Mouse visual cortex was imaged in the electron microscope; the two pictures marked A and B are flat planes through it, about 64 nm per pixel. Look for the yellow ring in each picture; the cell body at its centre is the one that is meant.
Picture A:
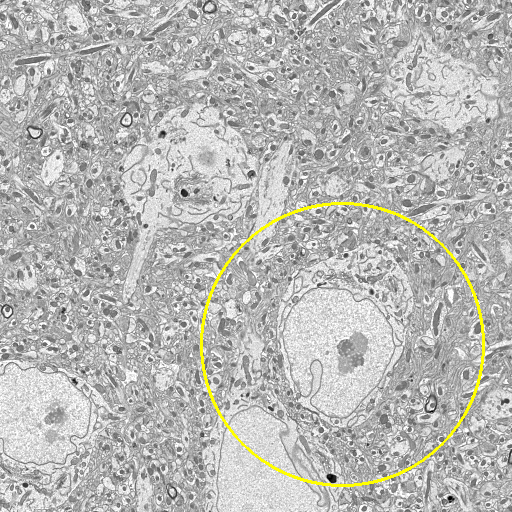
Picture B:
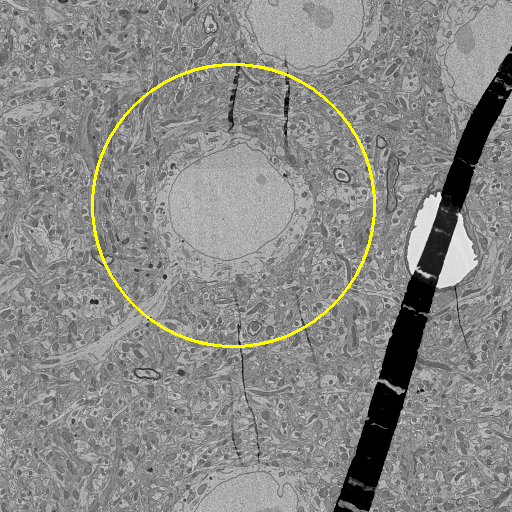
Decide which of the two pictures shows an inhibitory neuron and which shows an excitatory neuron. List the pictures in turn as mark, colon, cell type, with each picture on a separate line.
A: inhibitory neuron
B: excitatory neuron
